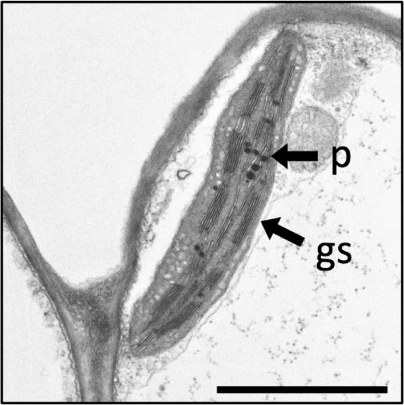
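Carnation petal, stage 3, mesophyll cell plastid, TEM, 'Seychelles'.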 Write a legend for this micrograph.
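A few small dark round plastoglobules cluster near its middle, and small pale spaces lie among the membranes. A thin rim of cytoplasm surrounds it, with pale vacuole beyond.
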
